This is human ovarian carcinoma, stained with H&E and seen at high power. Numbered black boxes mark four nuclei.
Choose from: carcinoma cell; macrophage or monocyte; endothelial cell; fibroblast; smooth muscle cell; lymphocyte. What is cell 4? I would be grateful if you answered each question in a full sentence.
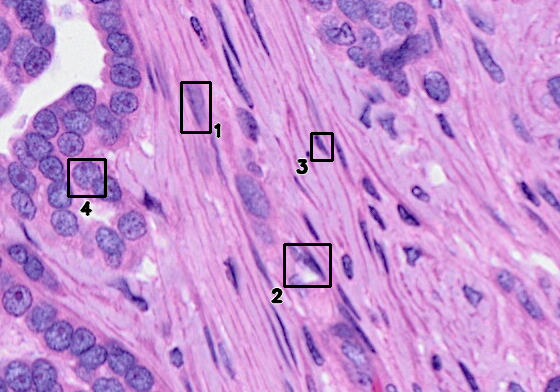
The label 4 in this section denotes a carcinoma cell.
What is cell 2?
The cell identified by the number 2 is a fibroblast.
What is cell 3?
Cell 3 is classified as a fibroblast.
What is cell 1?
The cell given label 1 is a fibroblast.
